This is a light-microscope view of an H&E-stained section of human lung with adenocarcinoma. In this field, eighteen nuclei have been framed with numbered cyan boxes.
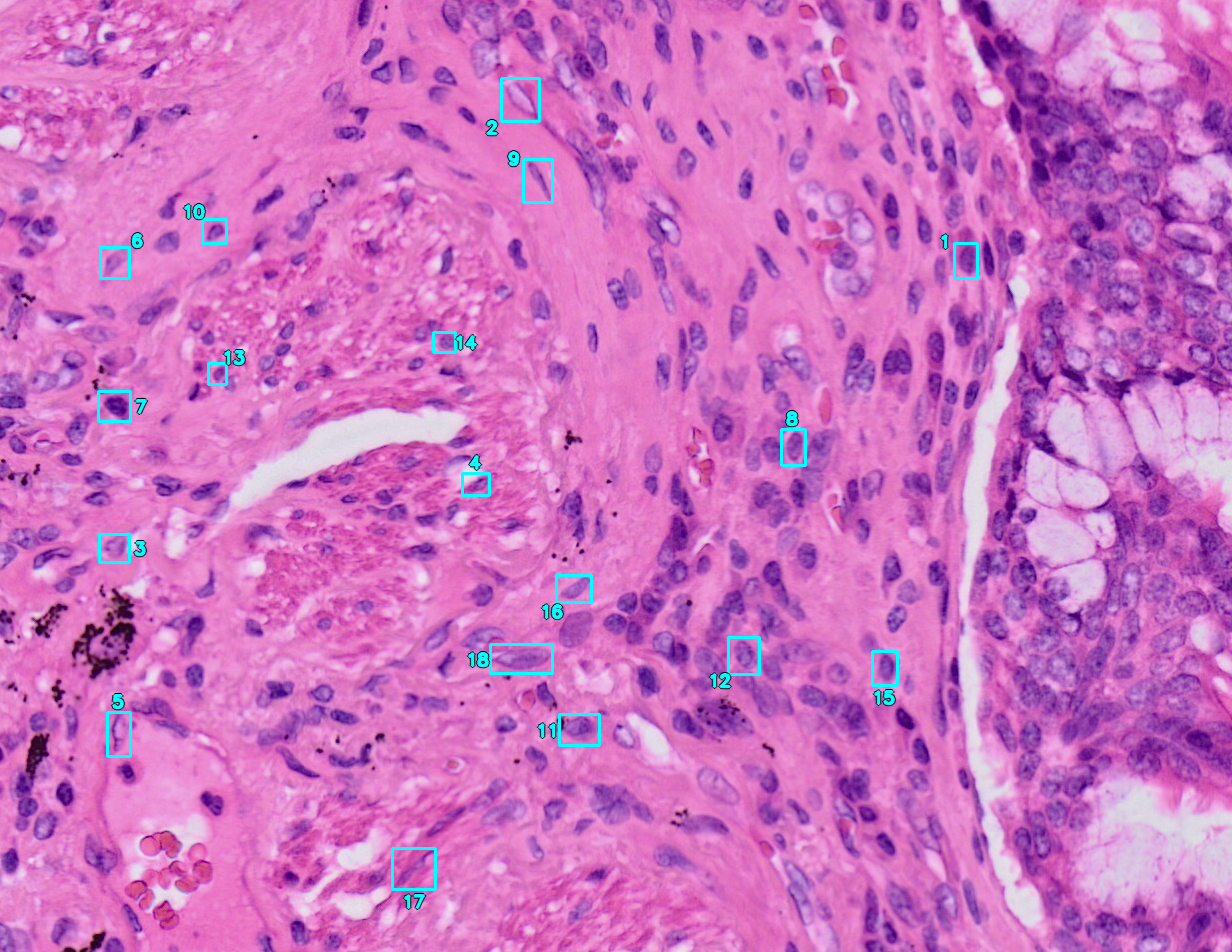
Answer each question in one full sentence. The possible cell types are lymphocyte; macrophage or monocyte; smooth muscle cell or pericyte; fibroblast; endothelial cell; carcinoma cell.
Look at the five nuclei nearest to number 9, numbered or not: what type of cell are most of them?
Most of the five nuclei nearest to number 9 are those of endothelial cells.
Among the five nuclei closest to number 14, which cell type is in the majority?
Of the five nuclei nearest to number 14, most belong to smooth muscle cells or pericytes.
